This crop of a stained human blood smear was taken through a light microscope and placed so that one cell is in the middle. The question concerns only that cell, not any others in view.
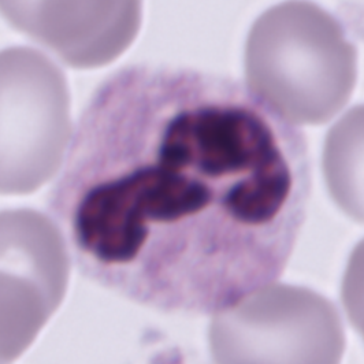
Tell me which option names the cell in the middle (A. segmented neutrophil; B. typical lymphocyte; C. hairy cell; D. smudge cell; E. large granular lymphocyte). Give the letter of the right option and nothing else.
A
